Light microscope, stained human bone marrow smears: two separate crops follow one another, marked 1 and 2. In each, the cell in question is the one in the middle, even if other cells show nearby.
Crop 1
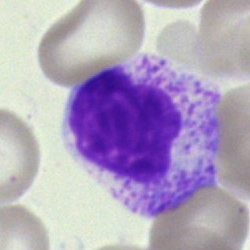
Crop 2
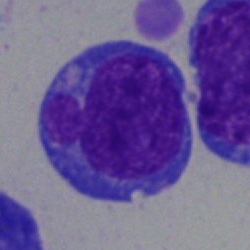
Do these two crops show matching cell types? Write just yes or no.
no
